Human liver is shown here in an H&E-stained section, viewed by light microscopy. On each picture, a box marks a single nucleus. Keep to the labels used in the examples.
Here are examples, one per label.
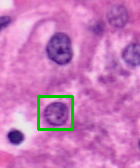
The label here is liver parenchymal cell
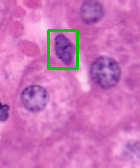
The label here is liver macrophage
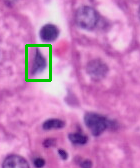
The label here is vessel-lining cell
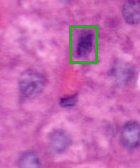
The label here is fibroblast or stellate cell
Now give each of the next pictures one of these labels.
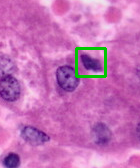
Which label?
fibroblast or stellate cell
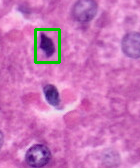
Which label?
fibroblast or stellate cell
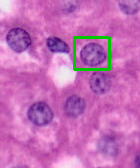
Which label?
liver parenchymal cell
